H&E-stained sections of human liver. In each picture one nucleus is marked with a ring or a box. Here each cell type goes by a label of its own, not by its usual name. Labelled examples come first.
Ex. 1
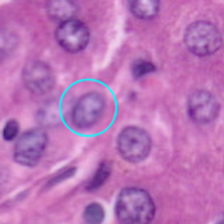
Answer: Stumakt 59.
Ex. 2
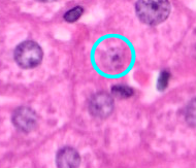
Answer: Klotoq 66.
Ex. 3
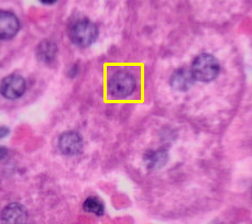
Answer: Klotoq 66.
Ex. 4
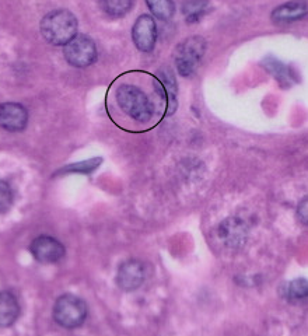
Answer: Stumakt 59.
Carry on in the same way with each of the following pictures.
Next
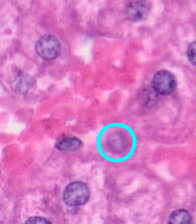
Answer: Klotoq 66.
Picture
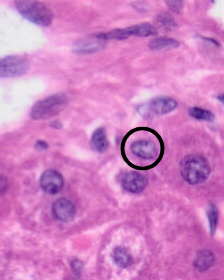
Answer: Stumakt 59.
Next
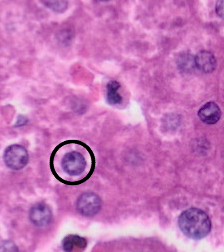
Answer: Klotoq 66.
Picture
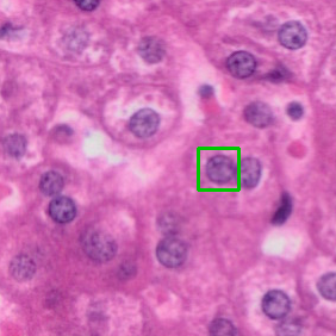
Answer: Klotoq 66.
